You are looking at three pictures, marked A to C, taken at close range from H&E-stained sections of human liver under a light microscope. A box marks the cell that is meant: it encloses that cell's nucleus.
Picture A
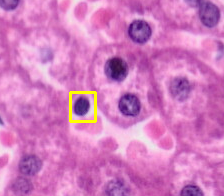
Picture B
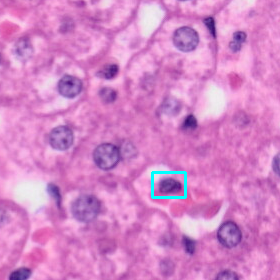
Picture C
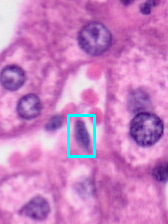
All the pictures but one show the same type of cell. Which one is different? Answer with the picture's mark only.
A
